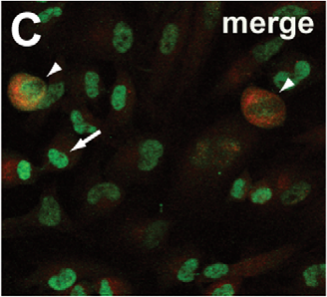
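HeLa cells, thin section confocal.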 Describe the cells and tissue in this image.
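Most cells appear as small, bright green, oval nuclei scattered across the field, with little red around them. A few cells are larger and rounder, and in them red fills the cell body while green is spread diffusely rather than confined to a sharp nucleus, so these cells stand out in orange tones.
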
